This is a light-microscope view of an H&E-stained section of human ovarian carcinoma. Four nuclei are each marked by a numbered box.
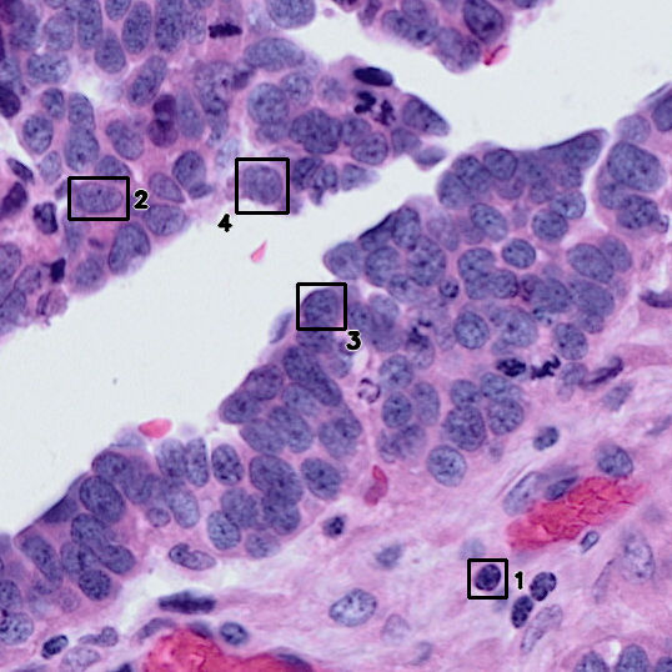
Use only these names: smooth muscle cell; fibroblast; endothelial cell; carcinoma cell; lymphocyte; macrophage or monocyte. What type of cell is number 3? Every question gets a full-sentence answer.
Within this field of view, the cell labelled 3 is a carcinoma cell.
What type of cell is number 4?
The cell pointed out by number 4 is a carcinoma cell.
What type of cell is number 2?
The numbered cell 2 in this field is a carcinoma cell.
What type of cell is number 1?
Identified as a lymphocyte is the cell bearing the number 1.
